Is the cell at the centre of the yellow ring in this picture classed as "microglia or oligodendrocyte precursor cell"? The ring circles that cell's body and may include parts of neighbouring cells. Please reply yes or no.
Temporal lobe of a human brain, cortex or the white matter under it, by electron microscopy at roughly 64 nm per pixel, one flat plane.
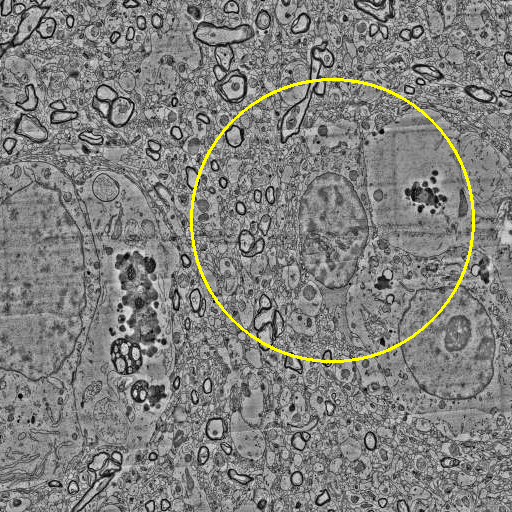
No, it is of another kind.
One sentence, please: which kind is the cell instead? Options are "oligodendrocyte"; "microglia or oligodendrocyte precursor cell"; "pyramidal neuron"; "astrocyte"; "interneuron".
The ring's central cell is an oligodendrocyte instead.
